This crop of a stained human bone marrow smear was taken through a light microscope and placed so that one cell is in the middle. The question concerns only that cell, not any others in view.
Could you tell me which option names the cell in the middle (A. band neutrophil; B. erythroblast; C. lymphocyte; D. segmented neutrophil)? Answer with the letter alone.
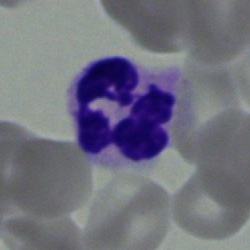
D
